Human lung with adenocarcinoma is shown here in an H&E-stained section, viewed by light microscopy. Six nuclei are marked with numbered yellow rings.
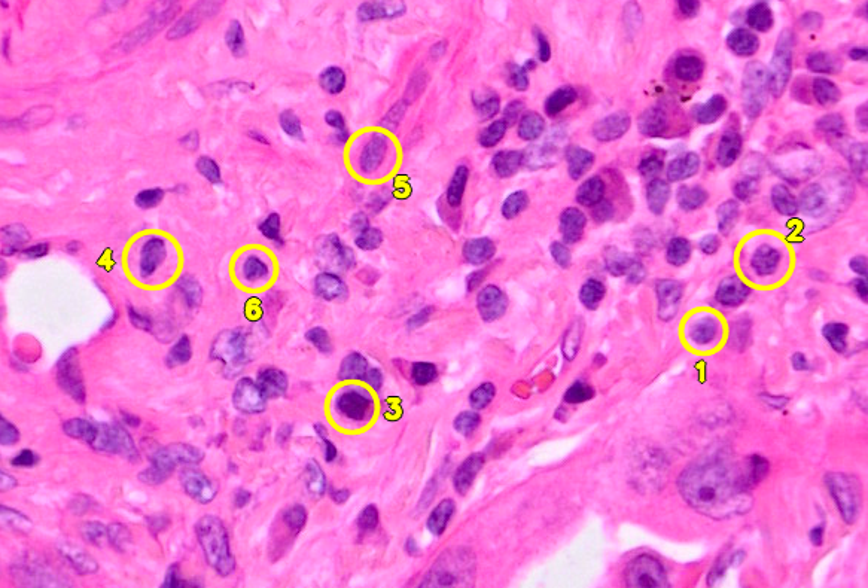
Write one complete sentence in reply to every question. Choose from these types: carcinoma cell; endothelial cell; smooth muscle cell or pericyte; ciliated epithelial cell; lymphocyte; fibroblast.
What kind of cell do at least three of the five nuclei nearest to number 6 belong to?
Fibroblasts make up most of the five nuclei closest to number 6.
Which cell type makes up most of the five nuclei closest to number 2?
Around number 2, most of the five nearest nuclei are those of lymphocytes.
